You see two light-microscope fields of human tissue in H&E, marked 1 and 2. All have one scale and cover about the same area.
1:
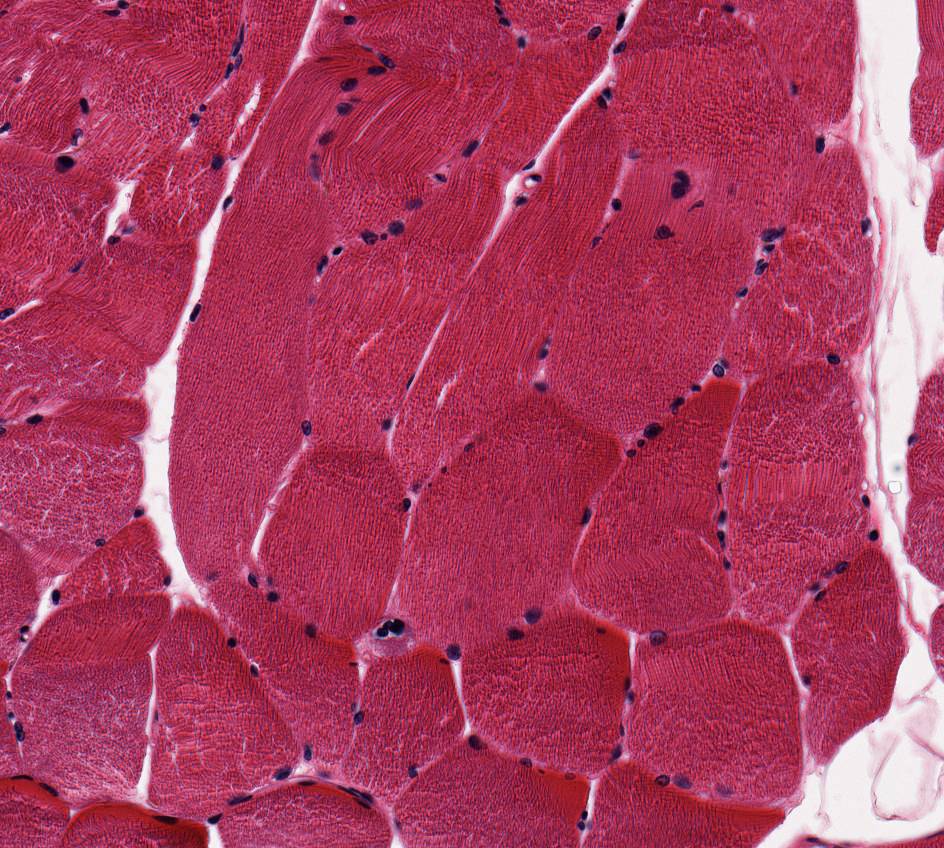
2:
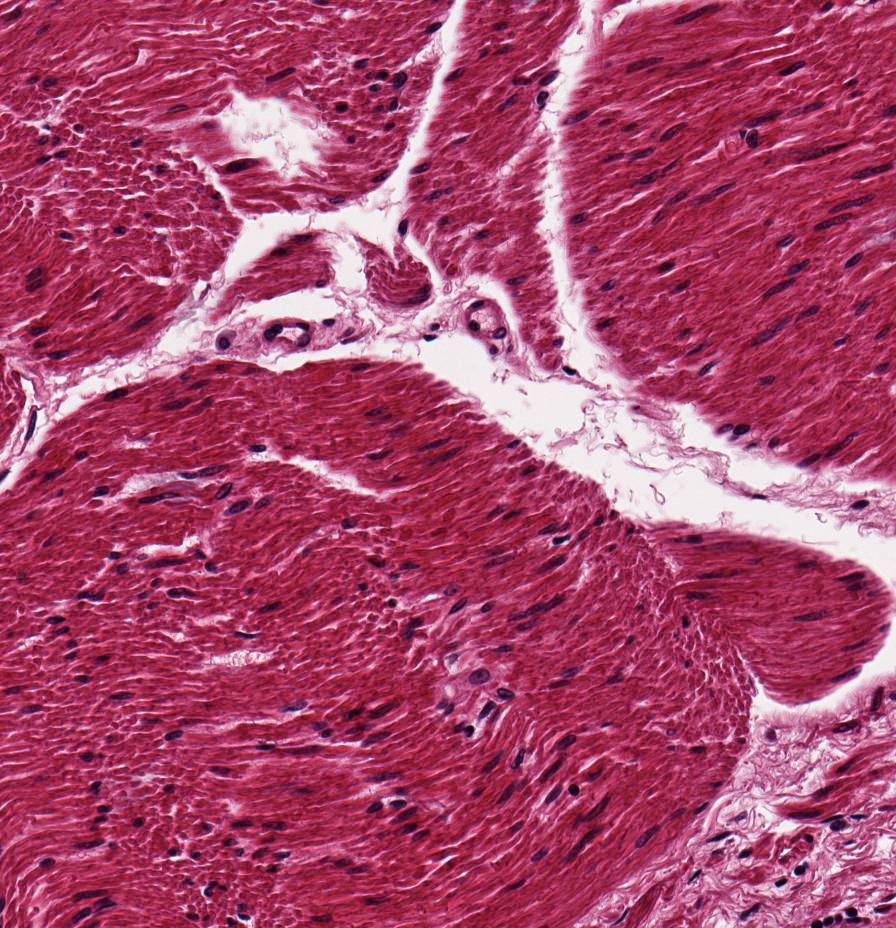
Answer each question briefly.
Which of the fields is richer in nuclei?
2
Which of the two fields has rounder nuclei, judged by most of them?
1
